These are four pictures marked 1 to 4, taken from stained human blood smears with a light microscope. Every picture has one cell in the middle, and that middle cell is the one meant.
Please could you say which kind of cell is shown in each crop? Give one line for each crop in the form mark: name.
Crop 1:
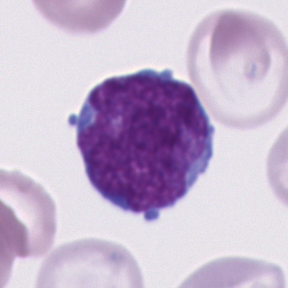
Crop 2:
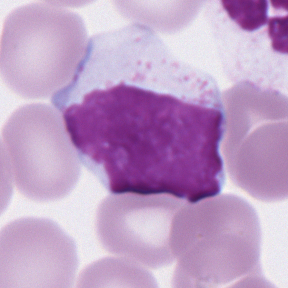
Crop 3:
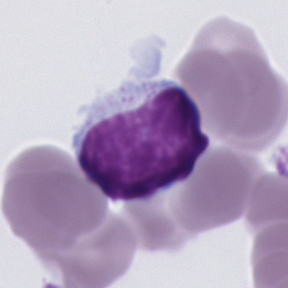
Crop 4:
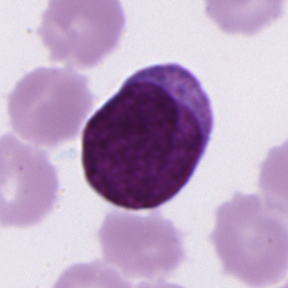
1: myeloblast
2: large granular lymphocyte
3: large granular lymphocyte
4: myeloblast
